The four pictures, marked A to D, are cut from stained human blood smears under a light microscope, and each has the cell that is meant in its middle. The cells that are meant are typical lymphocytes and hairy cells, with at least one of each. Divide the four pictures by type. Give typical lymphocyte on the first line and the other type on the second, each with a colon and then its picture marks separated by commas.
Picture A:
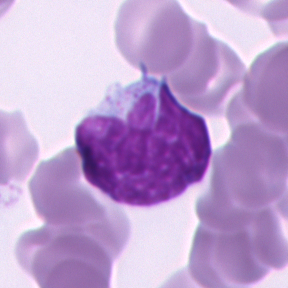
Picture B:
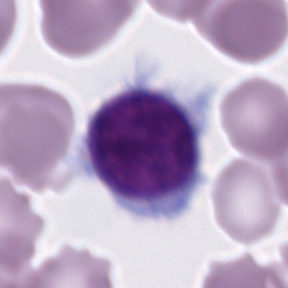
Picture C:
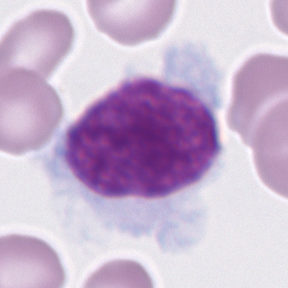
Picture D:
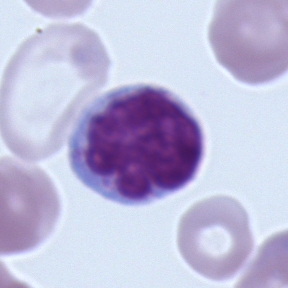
typical lymphocyte: A, D
hairy cell: B, C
